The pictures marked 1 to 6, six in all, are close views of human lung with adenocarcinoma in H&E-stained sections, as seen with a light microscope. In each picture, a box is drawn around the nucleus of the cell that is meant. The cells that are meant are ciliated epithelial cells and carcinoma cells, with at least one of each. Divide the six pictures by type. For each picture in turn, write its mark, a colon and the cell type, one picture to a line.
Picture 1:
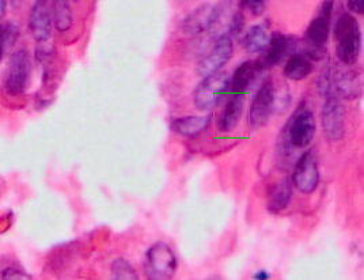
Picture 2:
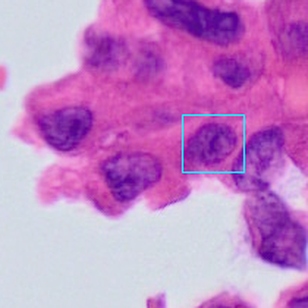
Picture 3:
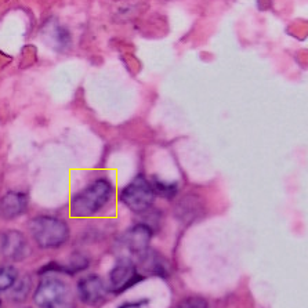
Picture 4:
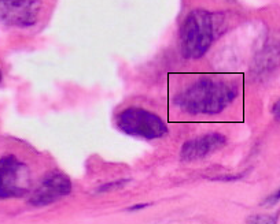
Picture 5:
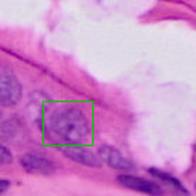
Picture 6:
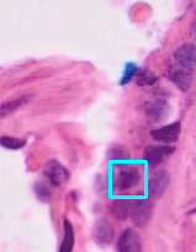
1: ciliated epithelial cell
2: carcinoma cell
3: ciliated epithelial cell
4: carcinoma cell
5: ciliated epithelial cell
6: ciliated epithelial cell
